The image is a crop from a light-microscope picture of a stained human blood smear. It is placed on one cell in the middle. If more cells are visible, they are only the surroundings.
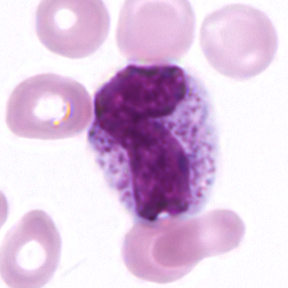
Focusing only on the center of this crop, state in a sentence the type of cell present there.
The cell the crop is centered on is a band neutrophil.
